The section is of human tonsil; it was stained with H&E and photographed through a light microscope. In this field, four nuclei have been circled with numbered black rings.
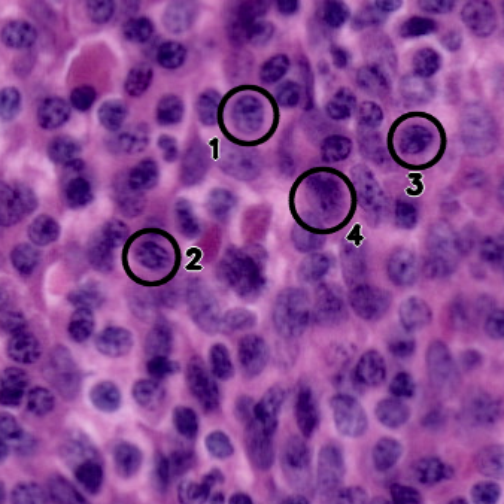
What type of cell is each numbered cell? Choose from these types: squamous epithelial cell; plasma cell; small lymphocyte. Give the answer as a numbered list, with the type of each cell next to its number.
1. plasma cell
2. plasma cell
3. plasma cell
4. squamous epithelial cell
